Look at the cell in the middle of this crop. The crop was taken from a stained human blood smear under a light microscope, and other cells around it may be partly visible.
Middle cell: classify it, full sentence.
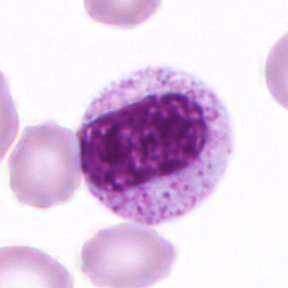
Present in the middle of the crop is a metamyelocyte.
